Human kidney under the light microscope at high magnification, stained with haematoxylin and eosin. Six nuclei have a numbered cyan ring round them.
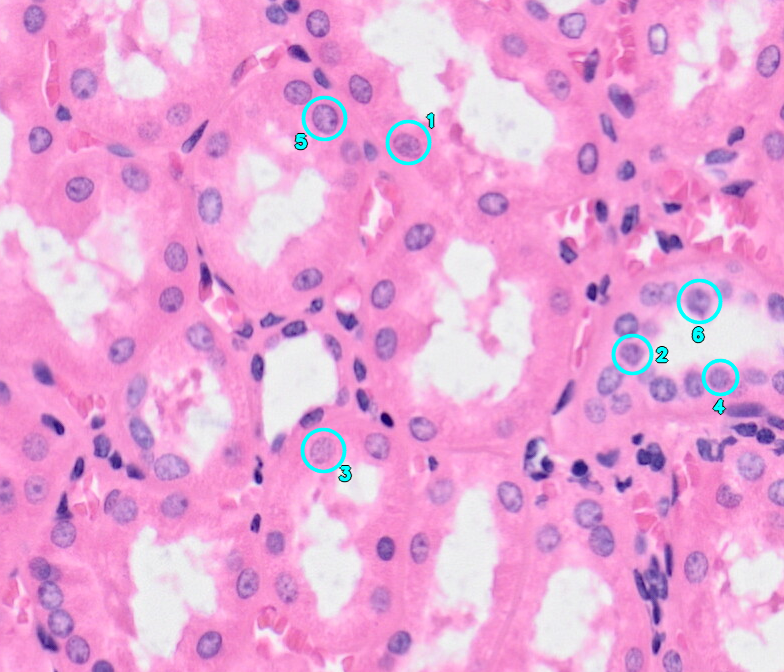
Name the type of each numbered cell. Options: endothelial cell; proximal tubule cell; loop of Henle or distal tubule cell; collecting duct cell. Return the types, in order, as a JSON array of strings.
["proximal tubule cell", "collecting duct cell", "proximal tubule cell", "collecting duct cell", "proximal tubule cell", "collecting duct cell"]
